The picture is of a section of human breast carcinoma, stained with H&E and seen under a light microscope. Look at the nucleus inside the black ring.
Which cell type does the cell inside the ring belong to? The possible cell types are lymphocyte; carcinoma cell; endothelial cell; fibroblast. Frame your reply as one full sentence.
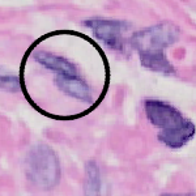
As far as its identity is concerned, the cell inside the ring is an endothelial cell.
